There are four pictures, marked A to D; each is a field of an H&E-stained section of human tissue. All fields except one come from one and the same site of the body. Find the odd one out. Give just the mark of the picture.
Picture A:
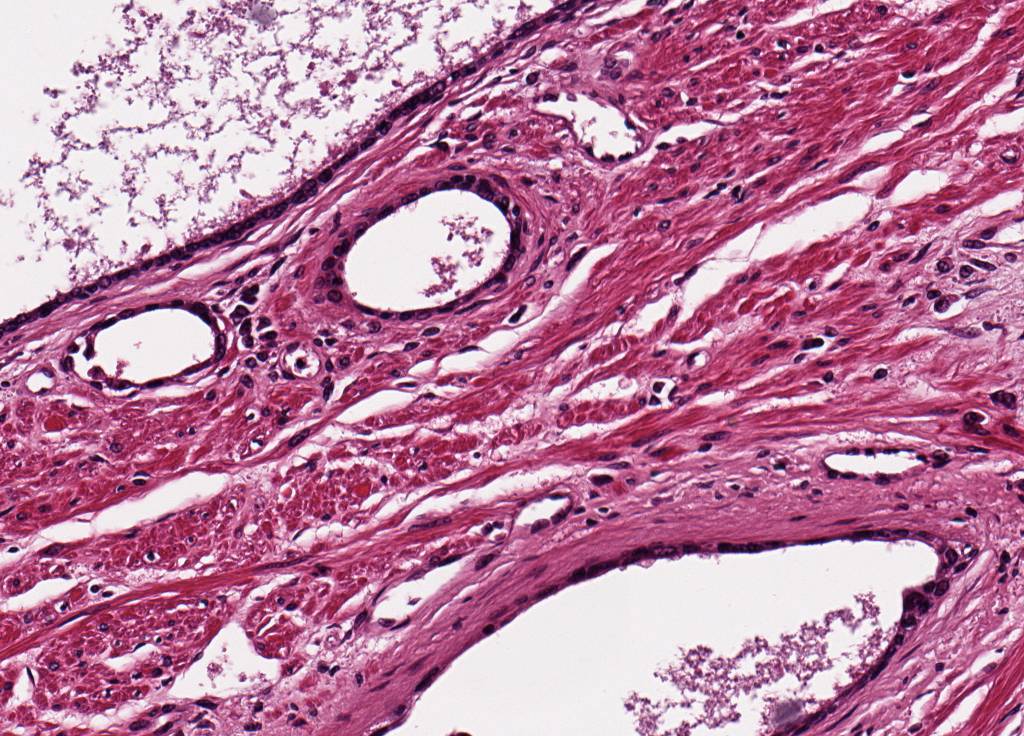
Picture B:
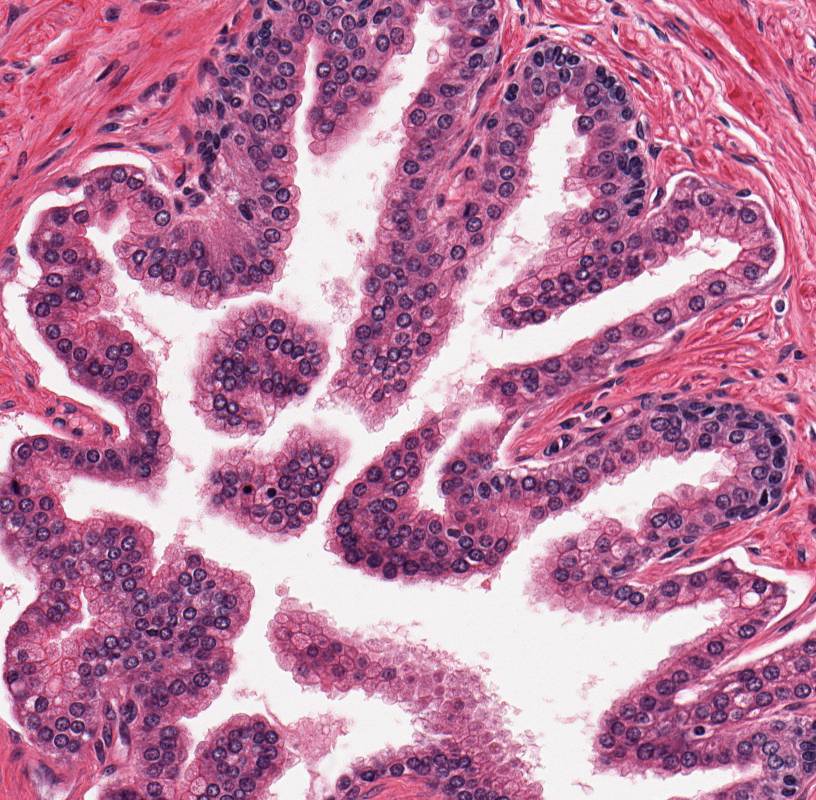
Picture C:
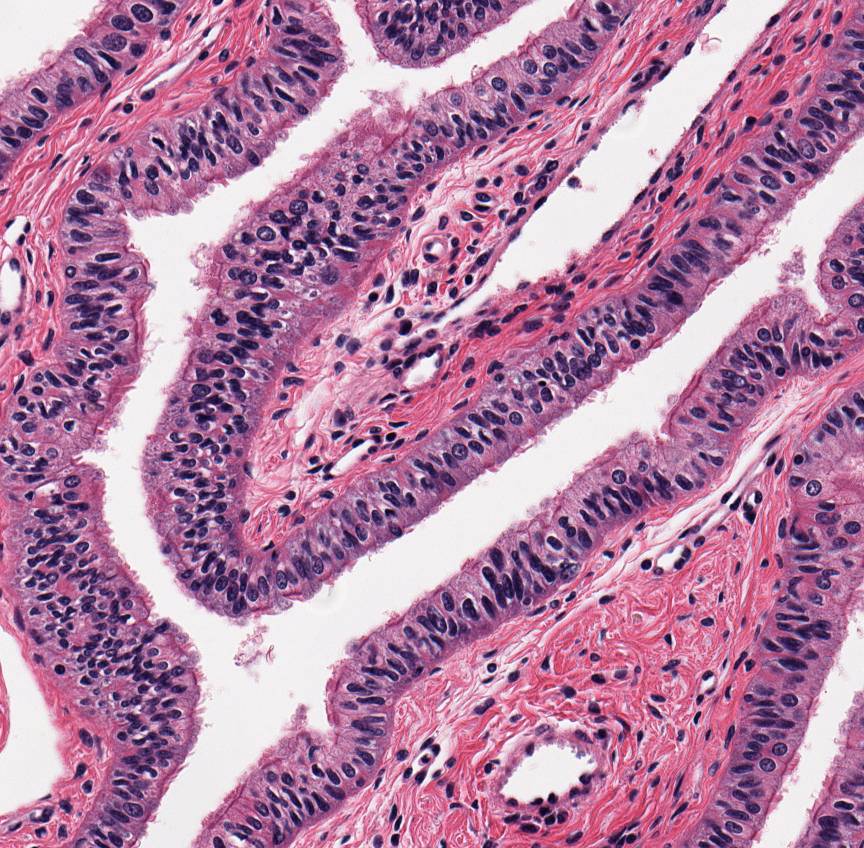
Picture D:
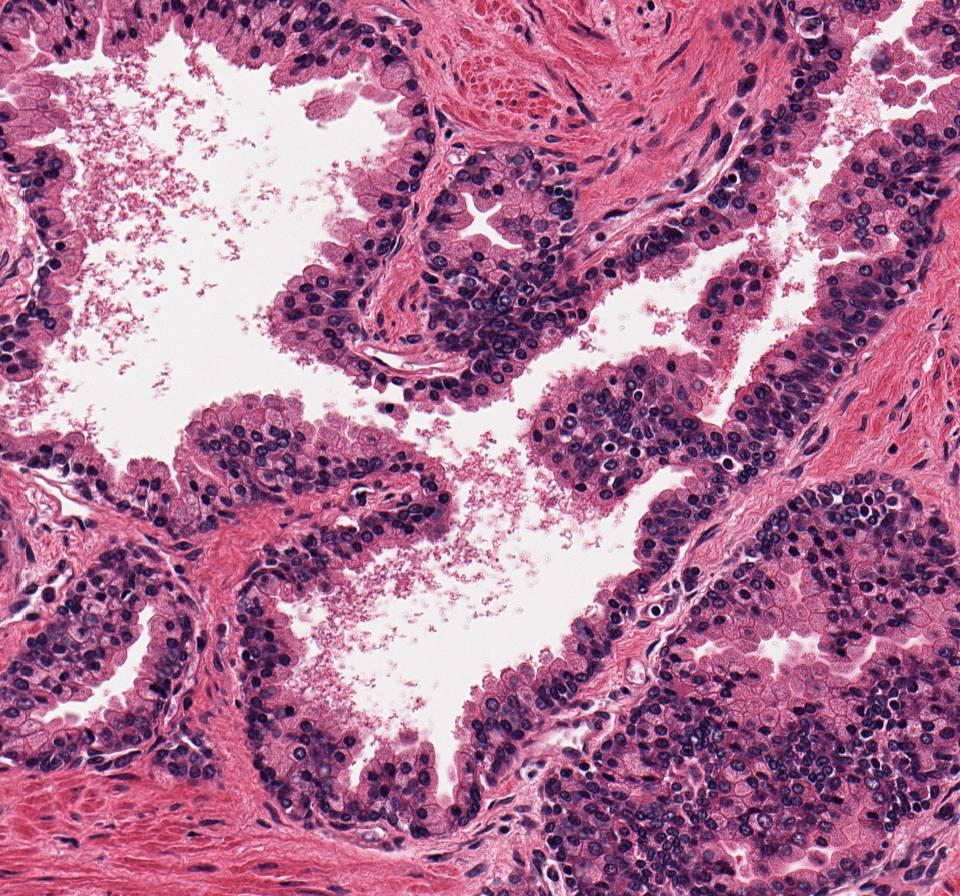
C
